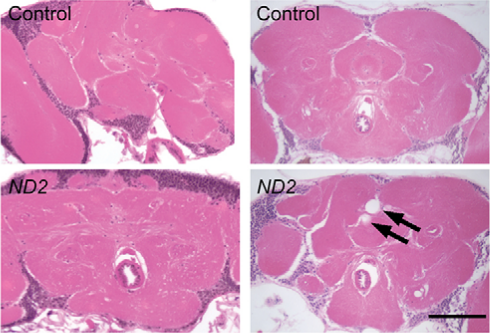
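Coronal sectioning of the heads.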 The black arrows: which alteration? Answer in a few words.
Neurodegenerative vacuoles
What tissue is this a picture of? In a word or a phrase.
Brain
